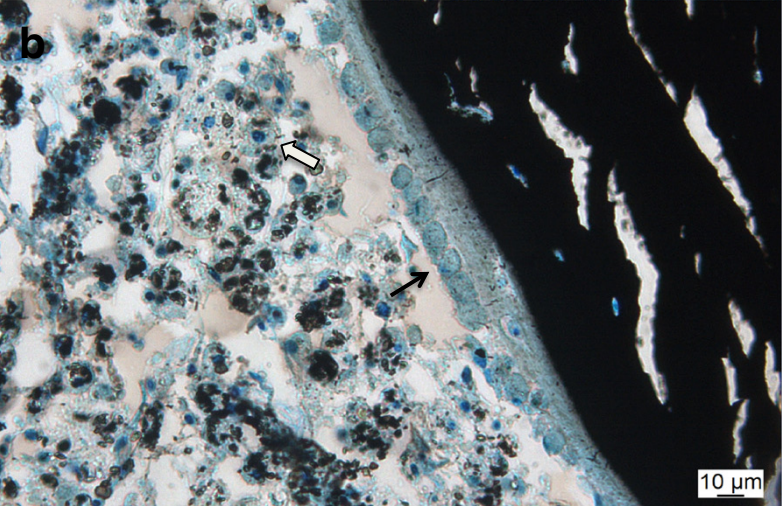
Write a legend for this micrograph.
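This is bone next to soft tissue containing osteoblasts along the bone surface and macrophages laden with material. On the right the mineralized bone appears black, with pale elongated spaces within it. Along its edge runs a pale seam covered by a layer of cells, forming a lining. On the left, loose tissue holds many cells filled with dark brown to black granular material, scattered and in clusters.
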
